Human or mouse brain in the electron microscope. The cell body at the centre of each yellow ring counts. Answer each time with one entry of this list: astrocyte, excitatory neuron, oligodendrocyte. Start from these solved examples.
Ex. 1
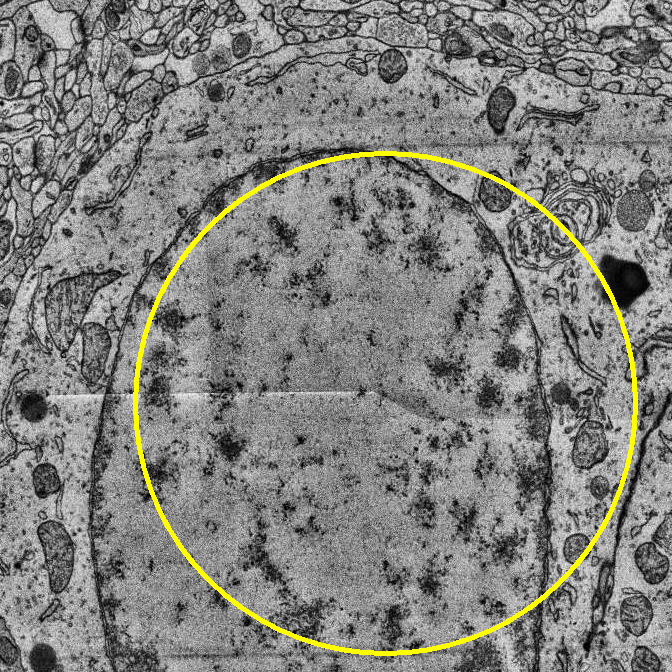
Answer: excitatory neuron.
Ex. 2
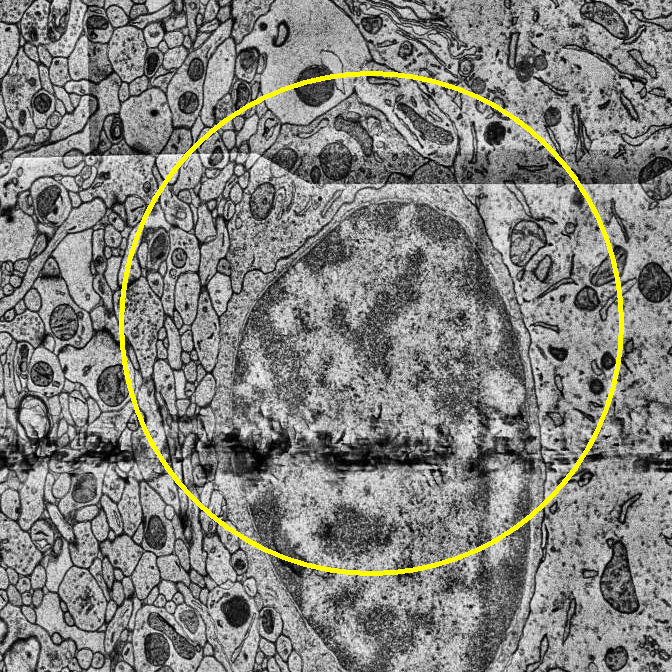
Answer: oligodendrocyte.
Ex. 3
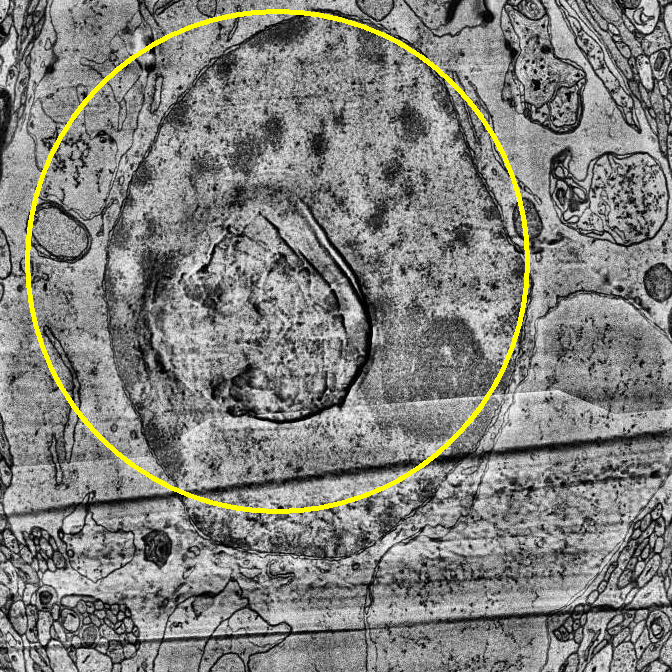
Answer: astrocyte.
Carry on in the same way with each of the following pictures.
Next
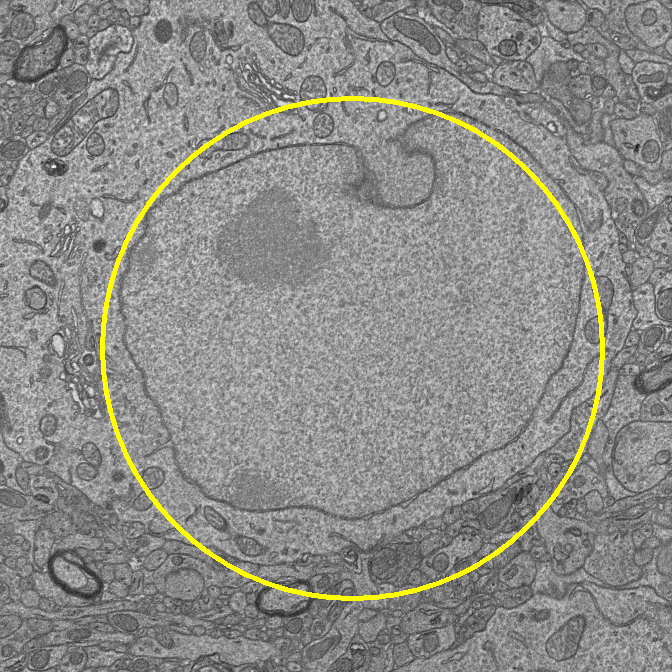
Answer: excitatory neuron.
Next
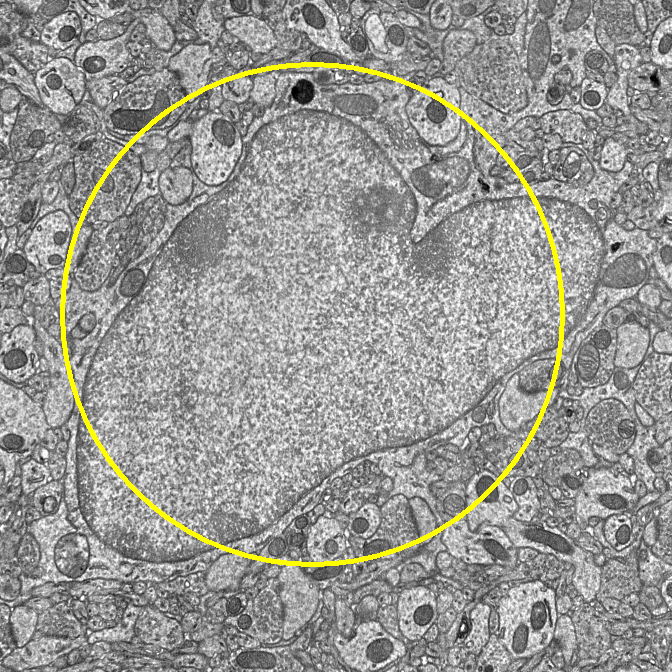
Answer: astrocyte.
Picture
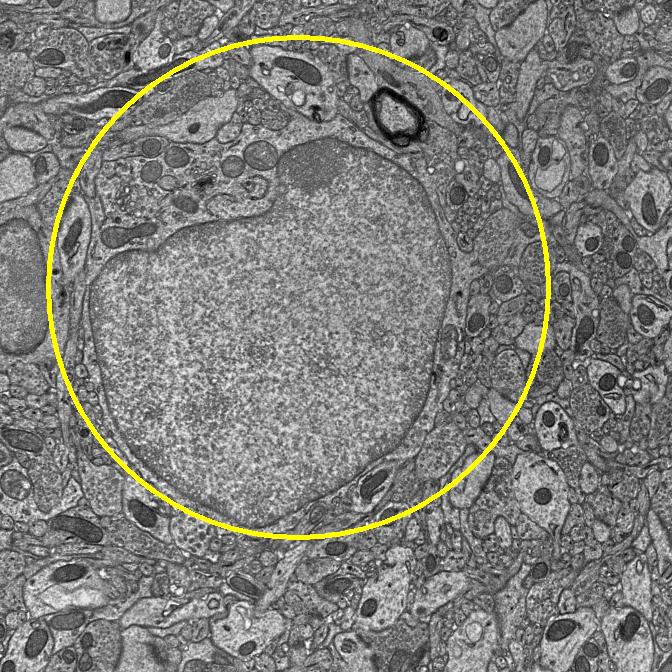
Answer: astrocyte.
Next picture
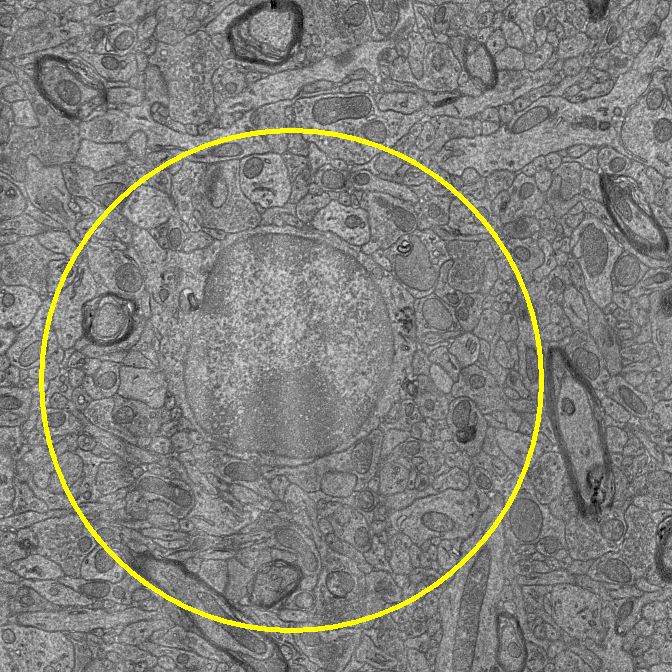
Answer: oligodendrocyte.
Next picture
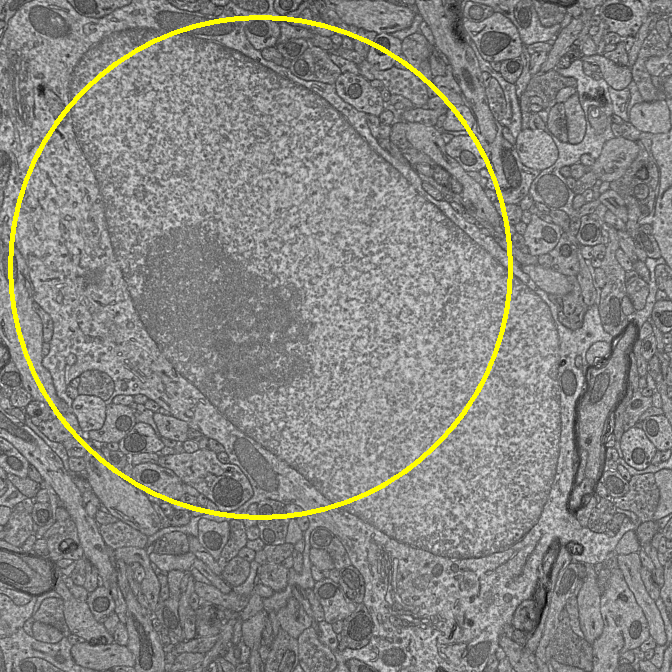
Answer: astrocyte.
